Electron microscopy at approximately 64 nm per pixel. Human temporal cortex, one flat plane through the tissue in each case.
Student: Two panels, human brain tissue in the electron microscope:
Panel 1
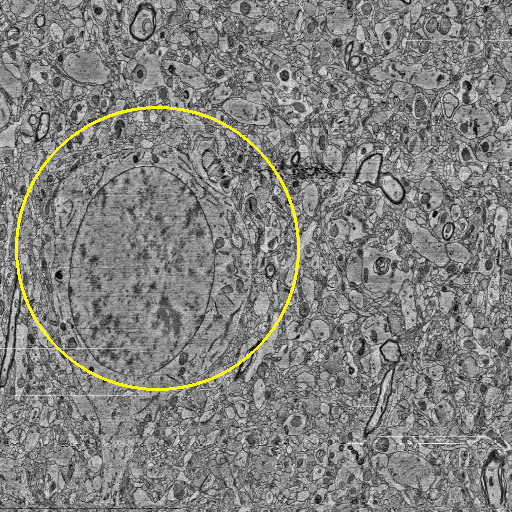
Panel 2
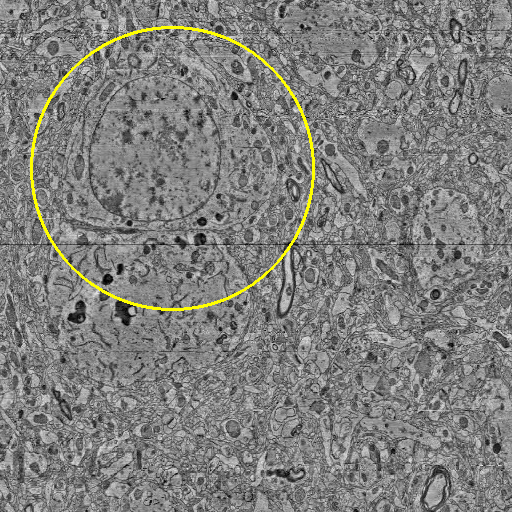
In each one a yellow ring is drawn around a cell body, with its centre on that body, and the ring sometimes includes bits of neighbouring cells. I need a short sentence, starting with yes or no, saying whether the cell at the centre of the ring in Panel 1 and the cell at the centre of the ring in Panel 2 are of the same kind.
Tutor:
Yes, they are the same kind of cell.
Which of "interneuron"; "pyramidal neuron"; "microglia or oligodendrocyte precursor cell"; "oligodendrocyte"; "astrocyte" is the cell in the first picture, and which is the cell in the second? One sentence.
Both pictures show a pyramidal neuron at the centre of the ring.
